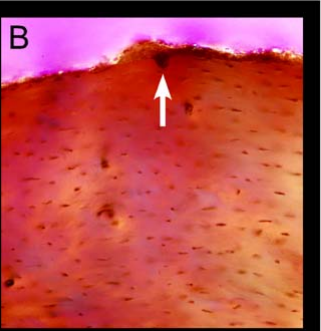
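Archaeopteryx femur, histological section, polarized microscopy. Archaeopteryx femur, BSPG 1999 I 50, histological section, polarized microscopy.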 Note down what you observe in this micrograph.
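This ground section of cortical bone shows its outer surface at the top against the pink mounting medium, with many small dark osteocyte lacunae aligned in the matrix below. A few larger dark rounded openings are vascular canals, one of them sitting open at the outer bone surface as a dark notch.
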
